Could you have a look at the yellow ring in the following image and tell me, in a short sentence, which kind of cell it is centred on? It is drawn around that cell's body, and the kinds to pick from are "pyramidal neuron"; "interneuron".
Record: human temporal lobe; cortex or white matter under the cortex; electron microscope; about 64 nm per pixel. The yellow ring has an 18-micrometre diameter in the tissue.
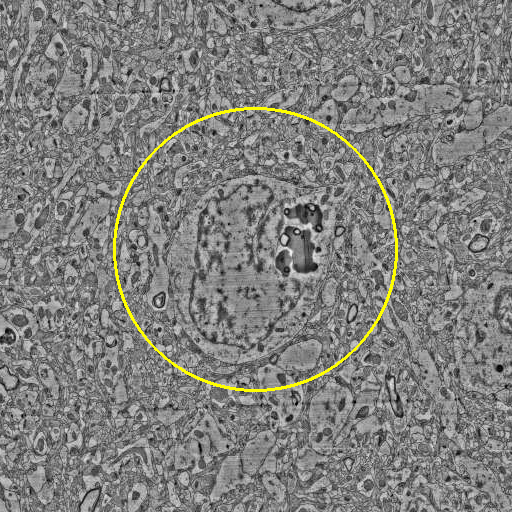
The ring is centred on the body of an interneuron.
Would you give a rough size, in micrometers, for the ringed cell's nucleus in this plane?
The nucleus comes to roughly 11 by 7 micrometres in this plane.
